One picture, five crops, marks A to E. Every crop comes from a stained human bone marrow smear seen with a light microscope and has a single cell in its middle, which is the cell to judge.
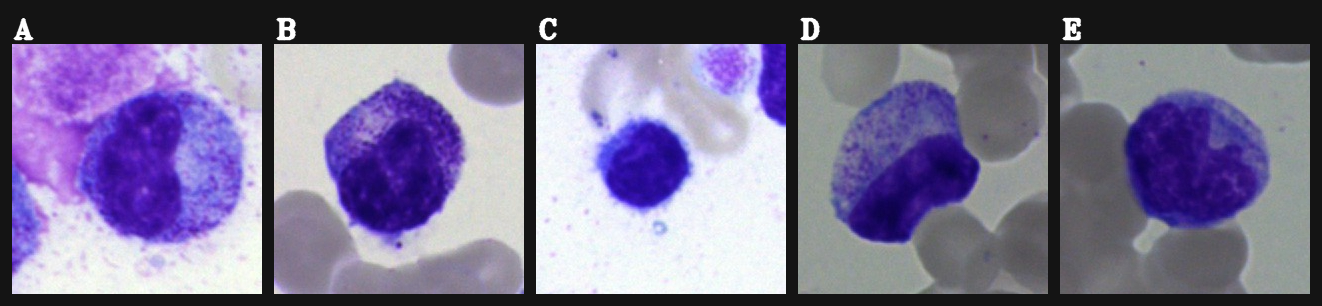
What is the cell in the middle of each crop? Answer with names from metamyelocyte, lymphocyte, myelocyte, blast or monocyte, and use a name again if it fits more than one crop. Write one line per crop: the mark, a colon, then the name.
A: myelocyte
B: myelocyte
C: lymphocyte
D: metamyelocyte
E: monocyte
